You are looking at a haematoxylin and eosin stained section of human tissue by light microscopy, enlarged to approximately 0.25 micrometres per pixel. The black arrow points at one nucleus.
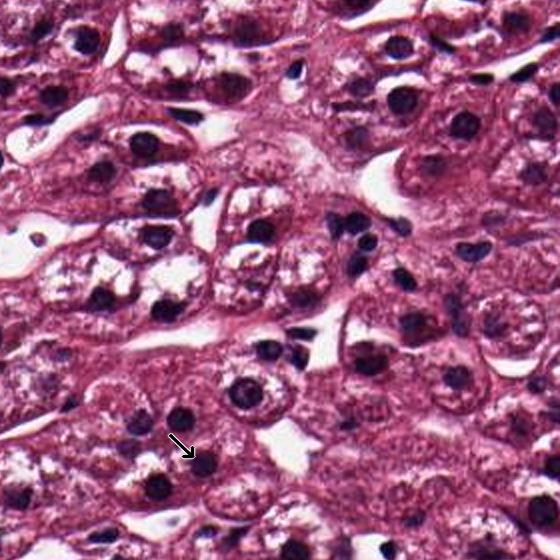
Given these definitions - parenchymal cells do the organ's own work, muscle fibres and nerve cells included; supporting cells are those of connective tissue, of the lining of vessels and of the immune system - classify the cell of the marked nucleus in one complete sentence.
The marked nucleus is assigned to a parenchymal cell, namely an adrenal cortical cell.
